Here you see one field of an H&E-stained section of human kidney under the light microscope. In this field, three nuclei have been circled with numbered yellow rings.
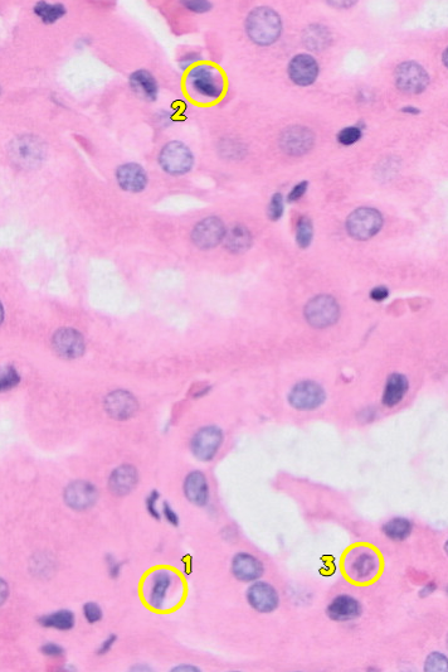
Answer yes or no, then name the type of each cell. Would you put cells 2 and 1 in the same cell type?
Yes, cell 2 and cell 1 are both endothelial cells.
